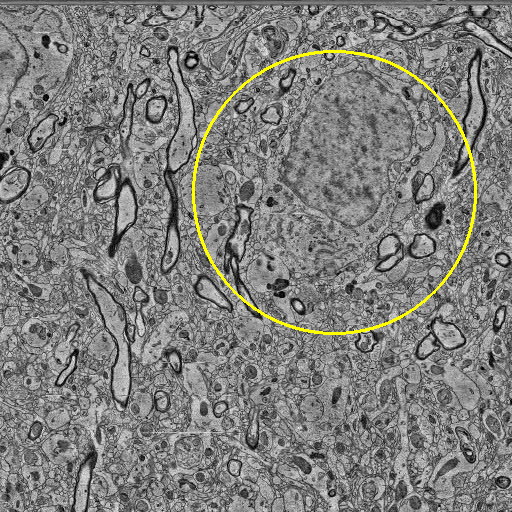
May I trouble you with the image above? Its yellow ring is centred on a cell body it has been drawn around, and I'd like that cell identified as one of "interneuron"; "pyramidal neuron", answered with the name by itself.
interneuron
